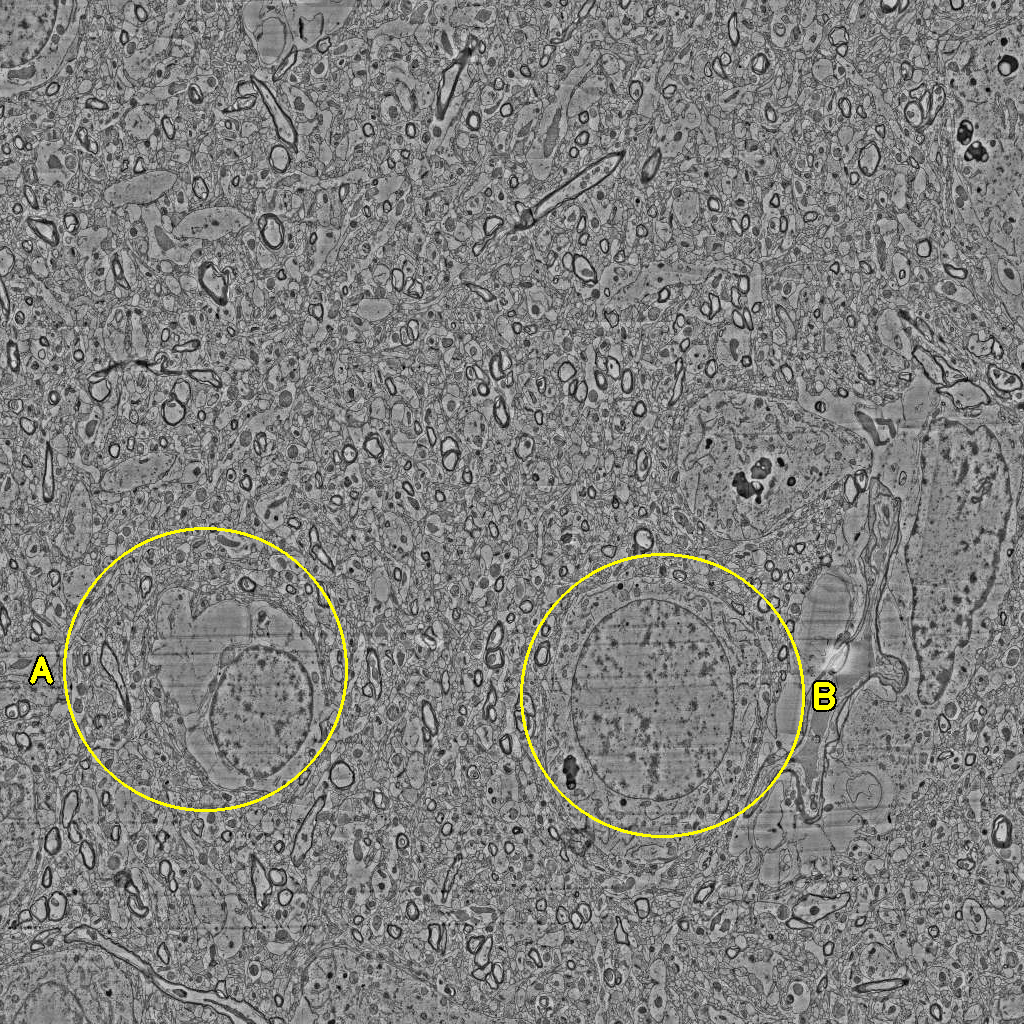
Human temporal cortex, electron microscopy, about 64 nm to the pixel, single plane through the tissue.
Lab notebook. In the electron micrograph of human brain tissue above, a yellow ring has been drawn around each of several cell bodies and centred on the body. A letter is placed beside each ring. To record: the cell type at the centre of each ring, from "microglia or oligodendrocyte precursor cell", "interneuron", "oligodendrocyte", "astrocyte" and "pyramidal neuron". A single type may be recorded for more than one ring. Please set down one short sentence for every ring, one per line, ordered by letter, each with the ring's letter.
The centre of ring A is occupied by an astrocyte.
The centre of ring B is occupied by a pyramidal neuron.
